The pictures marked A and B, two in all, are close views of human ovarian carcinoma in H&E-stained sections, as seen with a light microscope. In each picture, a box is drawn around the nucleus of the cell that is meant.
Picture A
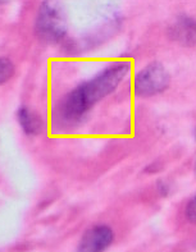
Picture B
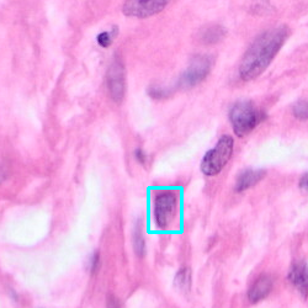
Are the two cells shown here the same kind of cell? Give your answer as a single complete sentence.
Yes, both are fibroblasts.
